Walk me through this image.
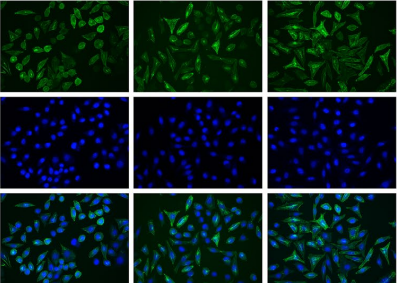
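Cultured cells are shown in three columns and three rows, with green cytoskeletal staining in the top row, blue nuclei in the middle row and the merge below. In the leftmost column the cells are mostly rounded to polygonal with modest green staining, whereas towards the right column the cells become more elongated and spindle-shaped with brighter, more fibrillar green staining. Each cell has a single oval blue nucleus lying within the green-stained cytoplasm.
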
